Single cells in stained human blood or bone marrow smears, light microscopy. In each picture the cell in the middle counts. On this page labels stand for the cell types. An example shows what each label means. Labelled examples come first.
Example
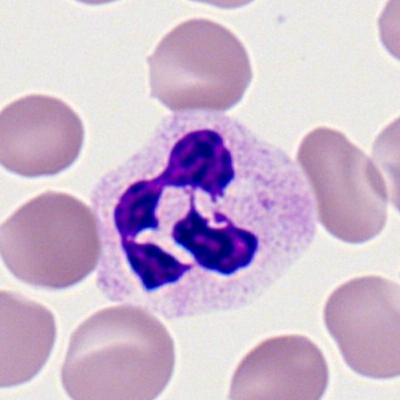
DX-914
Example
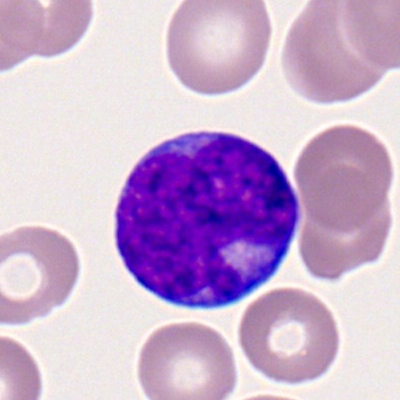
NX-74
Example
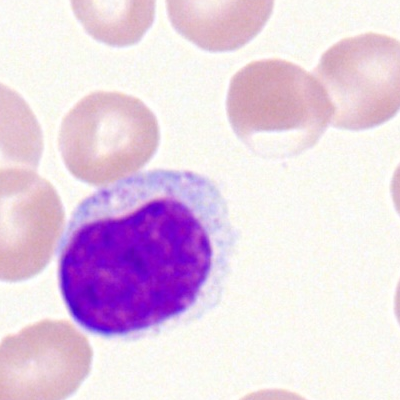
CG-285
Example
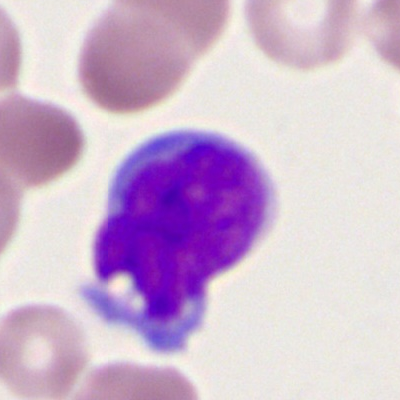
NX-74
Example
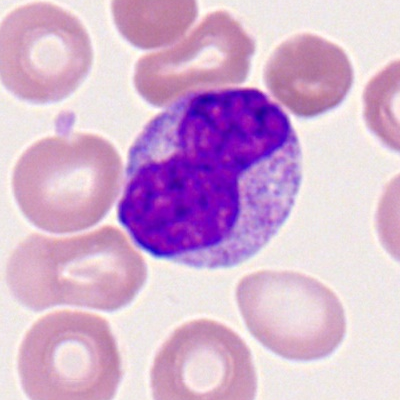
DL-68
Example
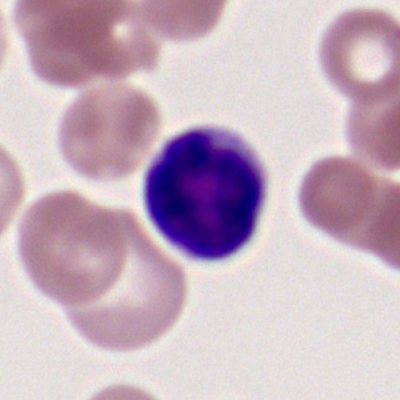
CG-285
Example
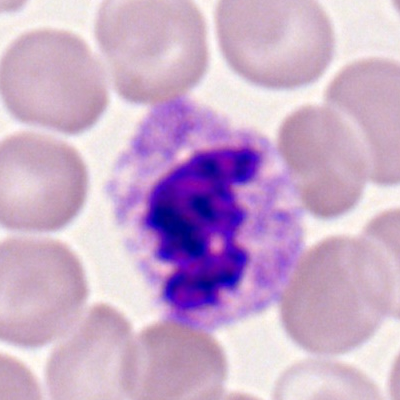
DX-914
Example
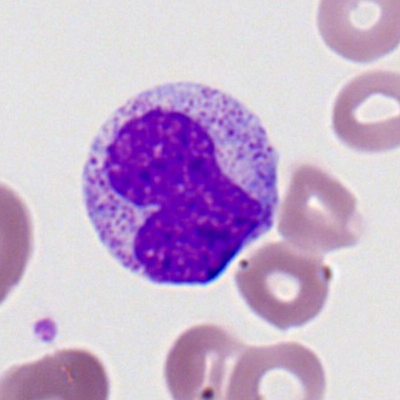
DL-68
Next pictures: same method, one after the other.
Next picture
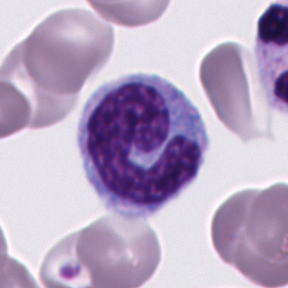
DL-68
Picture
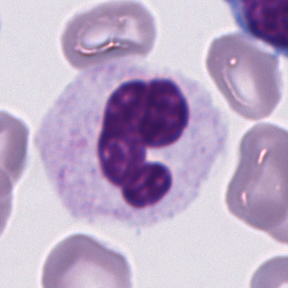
DX-914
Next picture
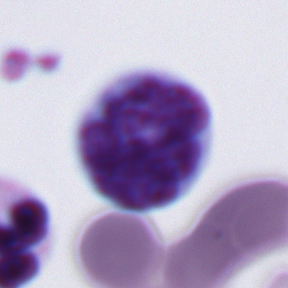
DL-68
